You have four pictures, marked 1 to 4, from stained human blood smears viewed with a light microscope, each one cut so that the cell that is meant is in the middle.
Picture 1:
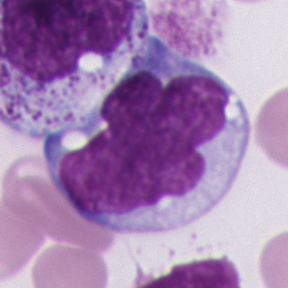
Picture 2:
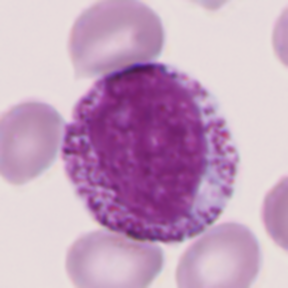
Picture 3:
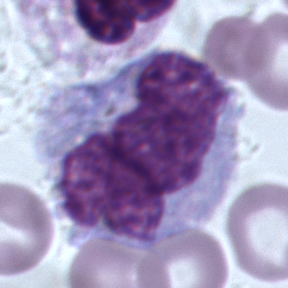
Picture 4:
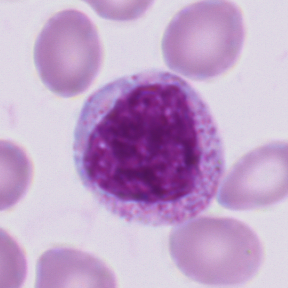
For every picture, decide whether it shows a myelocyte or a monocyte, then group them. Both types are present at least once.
1: monocyte
2: myelocyte
3: monocyte
4: myelocyte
